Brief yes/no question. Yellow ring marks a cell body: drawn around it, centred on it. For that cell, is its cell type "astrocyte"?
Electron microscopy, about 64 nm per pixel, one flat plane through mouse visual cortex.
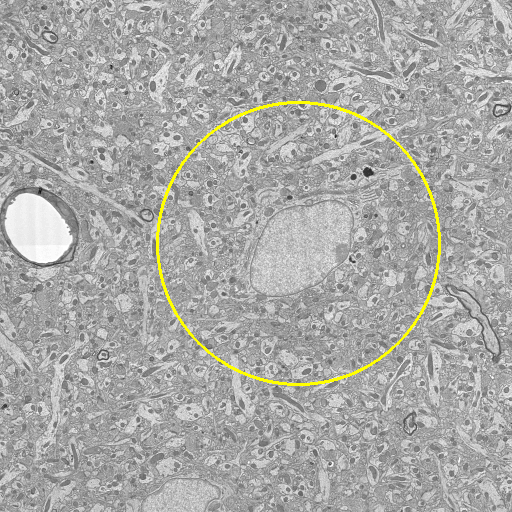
Yes, that is the cell type.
